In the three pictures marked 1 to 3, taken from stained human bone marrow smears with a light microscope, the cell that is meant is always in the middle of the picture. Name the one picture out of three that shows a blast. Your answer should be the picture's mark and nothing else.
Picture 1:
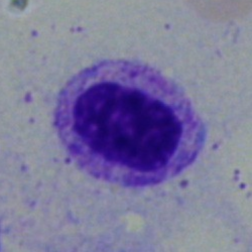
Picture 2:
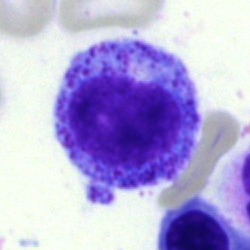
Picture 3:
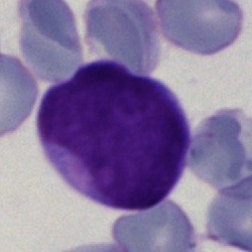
3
